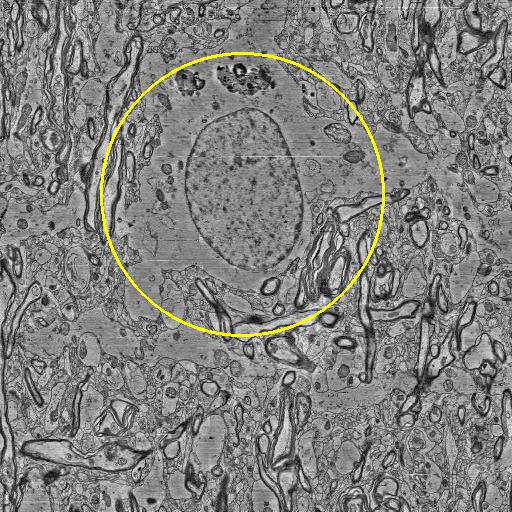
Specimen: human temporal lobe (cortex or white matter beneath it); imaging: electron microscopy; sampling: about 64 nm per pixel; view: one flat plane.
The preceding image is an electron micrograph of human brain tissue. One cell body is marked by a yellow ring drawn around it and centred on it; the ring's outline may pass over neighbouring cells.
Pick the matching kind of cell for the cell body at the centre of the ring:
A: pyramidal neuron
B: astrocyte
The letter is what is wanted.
B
